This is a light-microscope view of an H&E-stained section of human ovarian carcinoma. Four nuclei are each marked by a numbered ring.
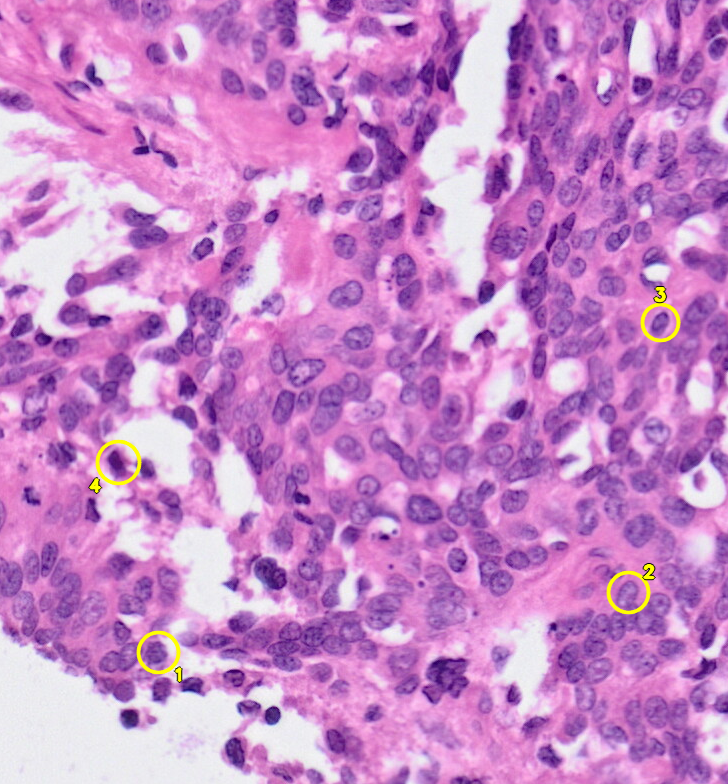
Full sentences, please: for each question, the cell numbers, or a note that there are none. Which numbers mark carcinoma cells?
The cells with numbers 1, 2 and 4 are carcinoma cells by type.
